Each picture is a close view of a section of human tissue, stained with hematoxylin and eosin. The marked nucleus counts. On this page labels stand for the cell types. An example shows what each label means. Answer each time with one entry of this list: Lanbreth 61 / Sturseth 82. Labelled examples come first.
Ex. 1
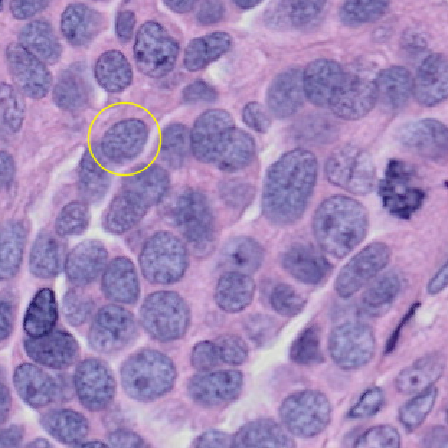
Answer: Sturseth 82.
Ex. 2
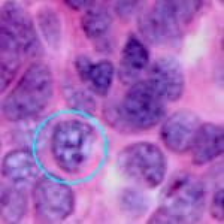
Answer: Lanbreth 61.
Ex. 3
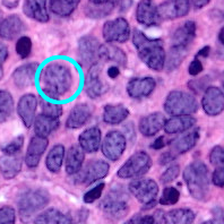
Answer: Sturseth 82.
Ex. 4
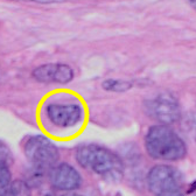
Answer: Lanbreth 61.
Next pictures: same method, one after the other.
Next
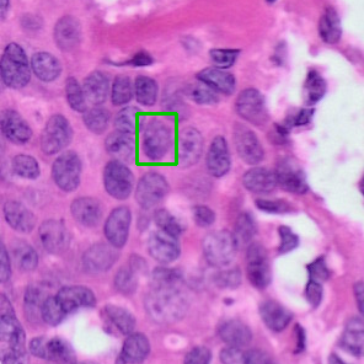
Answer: Sturseth 82.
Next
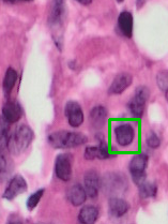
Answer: Lanbreth 61.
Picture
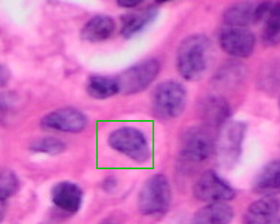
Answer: Lanbreth 61.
